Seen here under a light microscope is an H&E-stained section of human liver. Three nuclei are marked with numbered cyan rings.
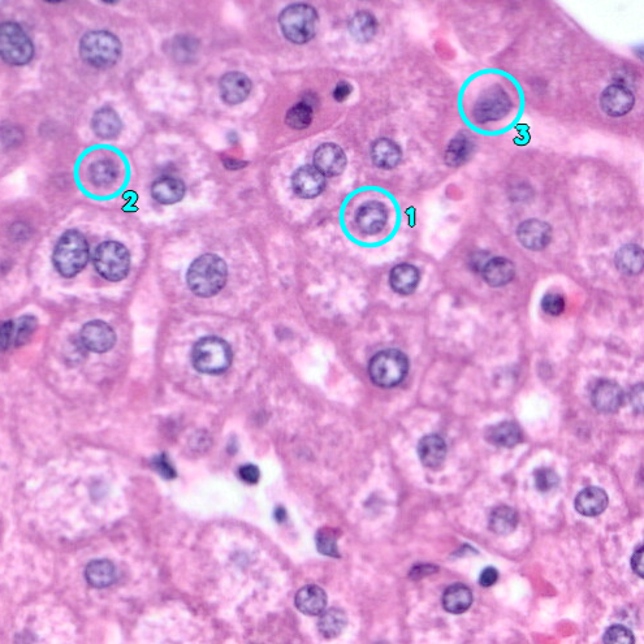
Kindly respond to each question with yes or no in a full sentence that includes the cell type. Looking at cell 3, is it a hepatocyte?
No, as for cell 3, it is an endothelial cell and not a hepatocyte.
